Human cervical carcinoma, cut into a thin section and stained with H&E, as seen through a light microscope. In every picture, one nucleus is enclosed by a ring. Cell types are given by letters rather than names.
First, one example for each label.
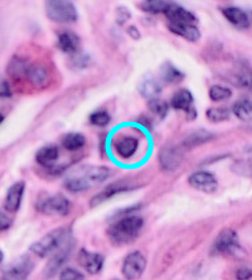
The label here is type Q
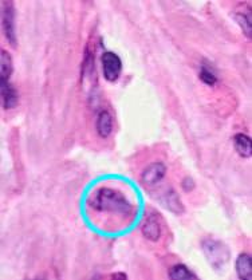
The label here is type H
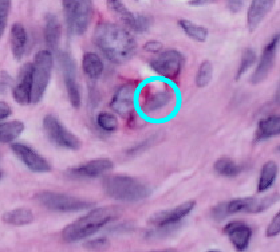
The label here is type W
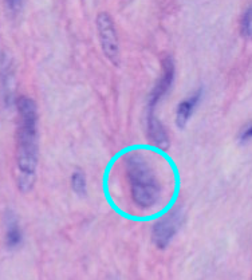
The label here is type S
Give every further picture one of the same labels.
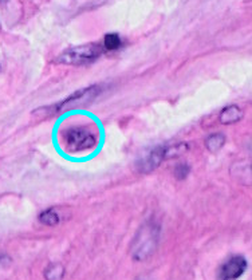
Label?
type H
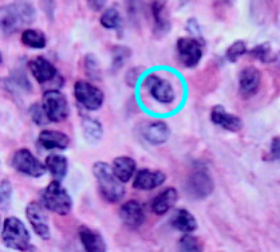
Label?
type Q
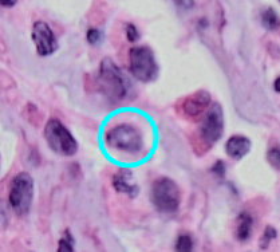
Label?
type H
